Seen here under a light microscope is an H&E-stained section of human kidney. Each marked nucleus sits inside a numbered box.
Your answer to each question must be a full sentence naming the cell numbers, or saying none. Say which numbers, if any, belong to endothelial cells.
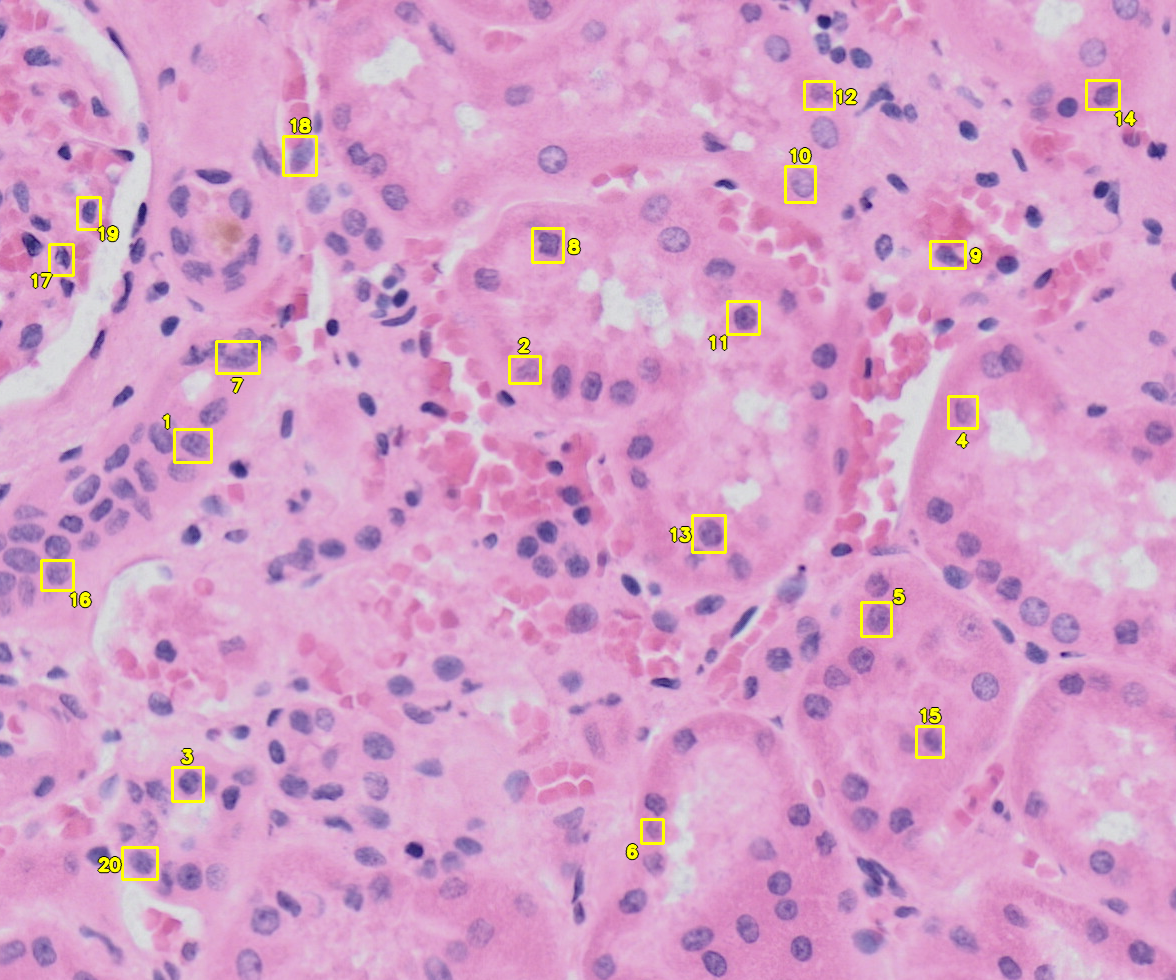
The cells with the numbers 9, 17, 18 and 19 are endothelial cells.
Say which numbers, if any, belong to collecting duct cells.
The cells marked by the numbers 1, 3, 7, 16 and 20 are collecting duct cells.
